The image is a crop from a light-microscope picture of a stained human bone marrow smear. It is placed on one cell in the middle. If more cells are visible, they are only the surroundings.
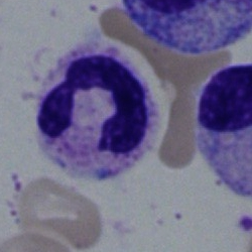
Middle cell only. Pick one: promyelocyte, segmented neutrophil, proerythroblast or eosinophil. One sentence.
Here the centrally located cell is a segmented neutrophil.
